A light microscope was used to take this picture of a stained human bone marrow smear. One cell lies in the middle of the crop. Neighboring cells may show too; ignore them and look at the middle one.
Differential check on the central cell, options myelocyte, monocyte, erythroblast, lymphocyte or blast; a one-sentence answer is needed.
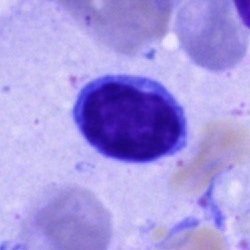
The center cell of this crop is a lymphocyte.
